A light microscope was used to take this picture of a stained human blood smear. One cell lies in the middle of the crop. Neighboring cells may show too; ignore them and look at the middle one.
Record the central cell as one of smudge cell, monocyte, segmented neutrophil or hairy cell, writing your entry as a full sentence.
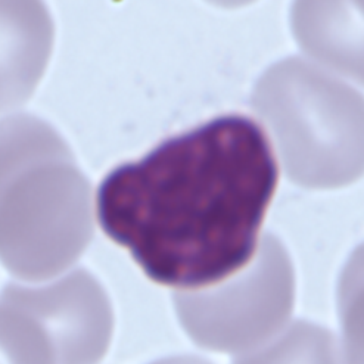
The cell of interest, located centrally, is a smudge cell.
